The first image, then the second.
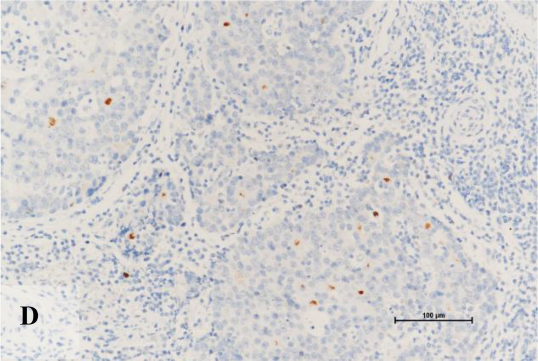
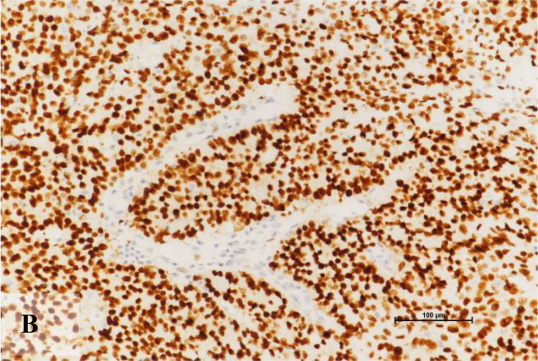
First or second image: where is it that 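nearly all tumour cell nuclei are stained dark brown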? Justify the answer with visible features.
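First image: tumour nuclei are blue with only a rare scattered brown nucleus. Second image: almost every nucleus in the tumour nests is strongly brown, with pale unstained stroma between.
Conclusion: the second image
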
